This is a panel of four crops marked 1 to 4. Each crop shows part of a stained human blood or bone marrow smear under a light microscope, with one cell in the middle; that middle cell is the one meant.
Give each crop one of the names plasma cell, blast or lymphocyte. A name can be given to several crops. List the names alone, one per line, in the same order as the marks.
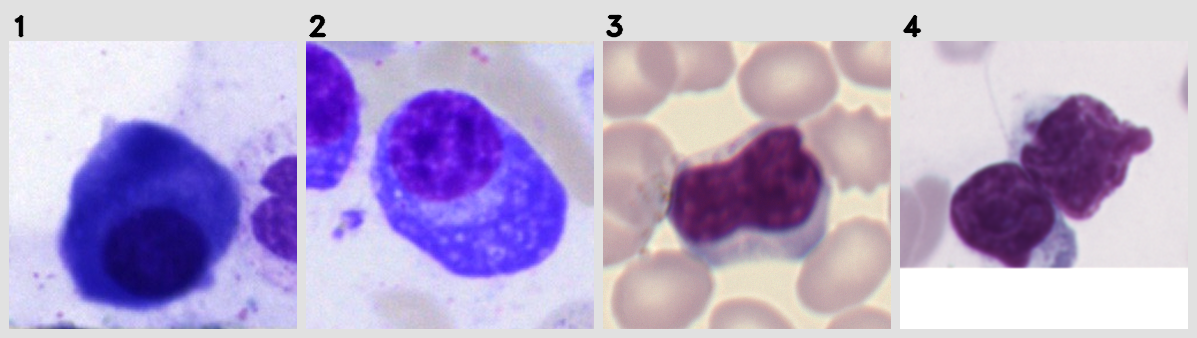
plasma cell
plasma cell
lymphocyte
blast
